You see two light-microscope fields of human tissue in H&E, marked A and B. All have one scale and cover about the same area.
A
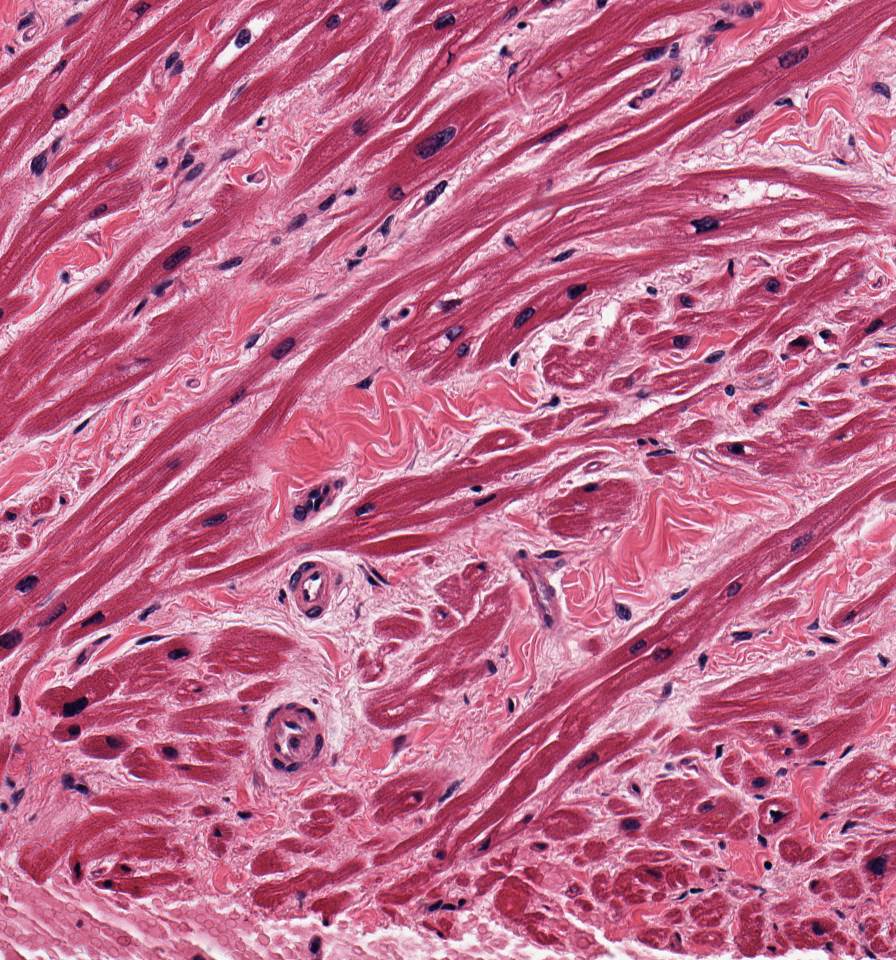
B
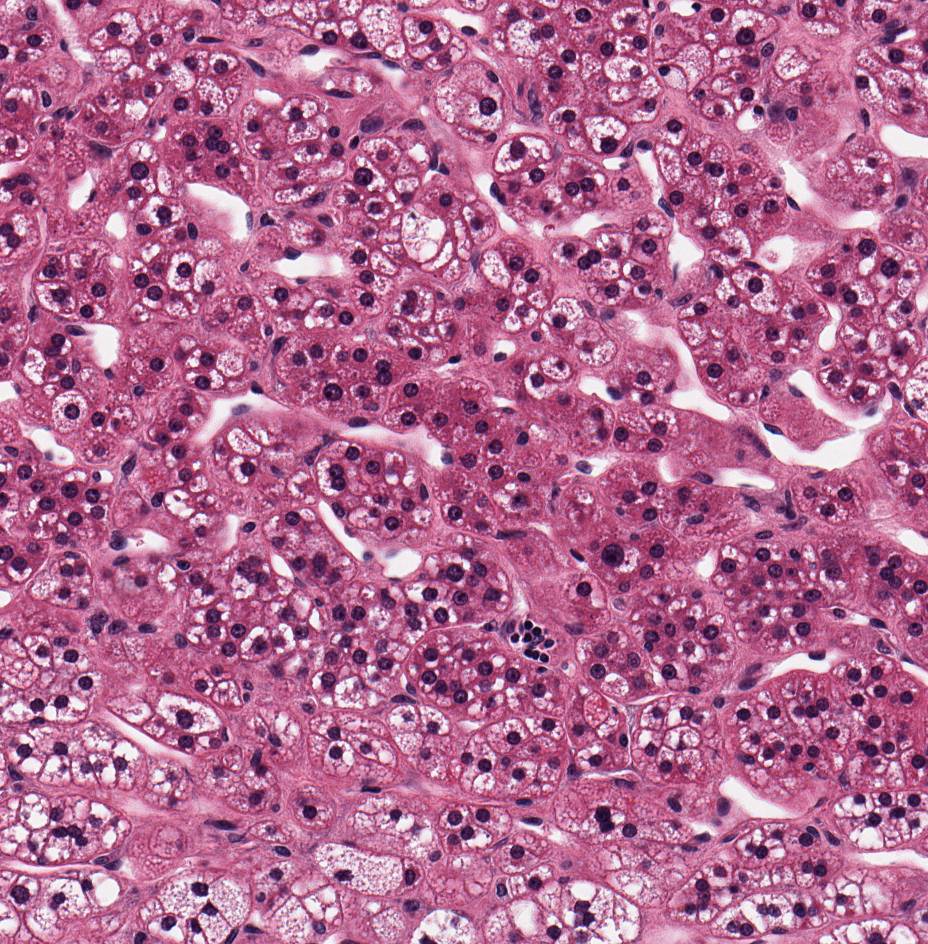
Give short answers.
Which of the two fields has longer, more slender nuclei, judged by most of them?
A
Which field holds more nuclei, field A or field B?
B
